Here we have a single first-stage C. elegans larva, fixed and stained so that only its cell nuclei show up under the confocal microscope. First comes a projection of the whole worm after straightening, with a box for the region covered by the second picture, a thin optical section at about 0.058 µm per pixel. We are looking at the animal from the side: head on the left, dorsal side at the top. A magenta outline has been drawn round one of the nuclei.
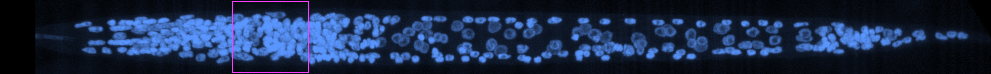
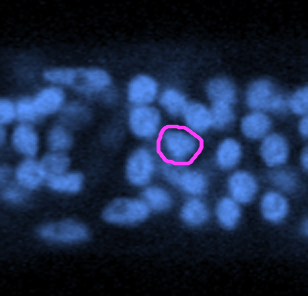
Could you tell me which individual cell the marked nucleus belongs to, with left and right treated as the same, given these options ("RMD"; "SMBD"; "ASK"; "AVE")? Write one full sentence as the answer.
This is the nucleus of AVE, a neuron.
